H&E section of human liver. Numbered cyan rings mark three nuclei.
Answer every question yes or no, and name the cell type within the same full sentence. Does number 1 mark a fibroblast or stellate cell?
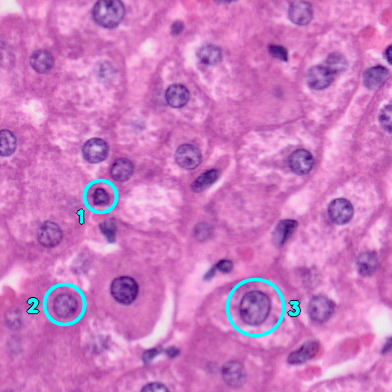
Yes, the nucleus numbered 1 belongs to a fibroblast or stellate cell.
